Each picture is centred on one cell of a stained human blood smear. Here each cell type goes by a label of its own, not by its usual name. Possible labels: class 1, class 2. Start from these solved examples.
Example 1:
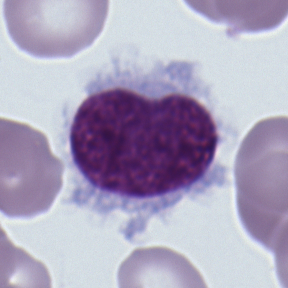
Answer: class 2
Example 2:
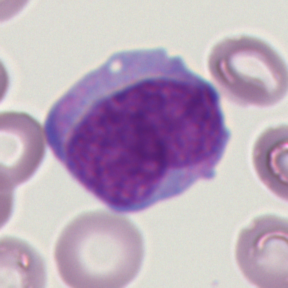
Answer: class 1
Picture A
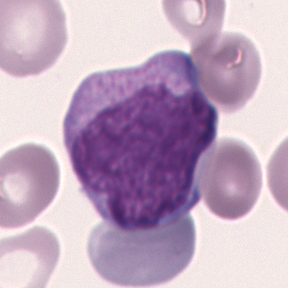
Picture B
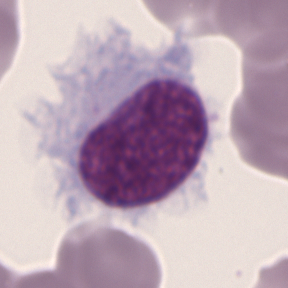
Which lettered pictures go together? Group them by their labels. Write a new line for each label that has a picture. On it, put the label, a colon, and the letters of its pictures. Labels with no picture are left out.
class 1: A
class 2: B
